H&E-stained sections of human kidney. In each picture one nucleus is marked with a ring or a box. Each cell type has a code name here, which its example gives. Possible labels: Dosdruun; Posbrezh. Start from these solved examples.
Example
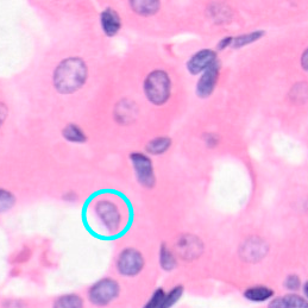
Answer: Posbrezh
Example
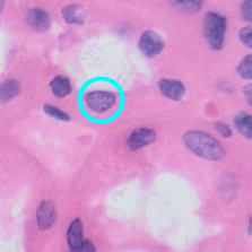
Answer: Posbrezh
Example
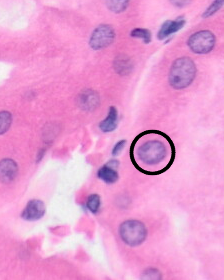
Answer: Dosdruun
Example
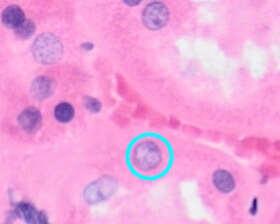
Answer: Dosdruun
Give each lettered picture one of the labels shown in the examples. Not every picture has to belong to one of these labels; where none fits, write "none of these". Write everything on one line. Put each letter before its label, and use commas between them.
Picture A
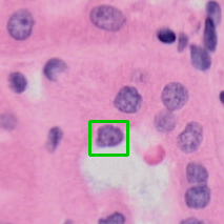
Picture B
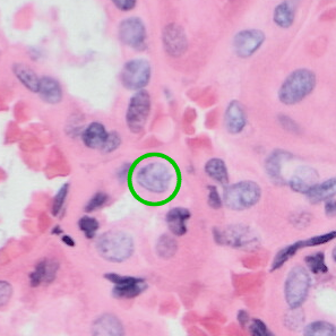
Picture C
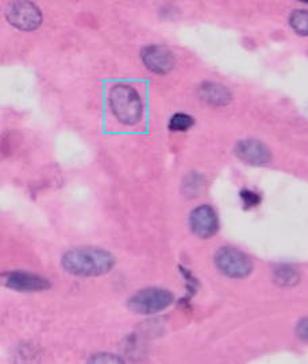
A Posbrezh, B none of these, C Dosdruun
